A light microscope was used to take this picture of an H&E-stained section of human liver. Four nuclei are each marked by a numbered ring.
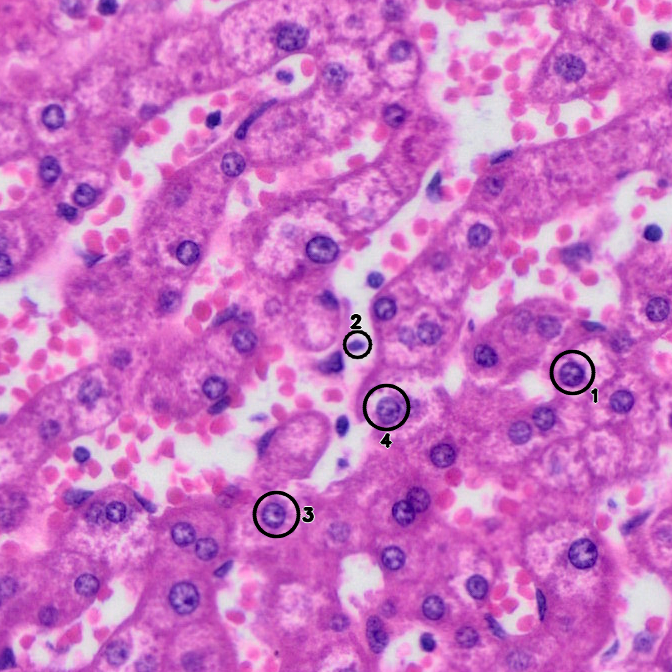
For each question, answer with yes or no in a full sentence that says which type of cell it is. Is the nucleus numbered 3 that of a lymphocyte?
No, cell 3 is correctly identified as a hepatocyte and not as a lymphocyte.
